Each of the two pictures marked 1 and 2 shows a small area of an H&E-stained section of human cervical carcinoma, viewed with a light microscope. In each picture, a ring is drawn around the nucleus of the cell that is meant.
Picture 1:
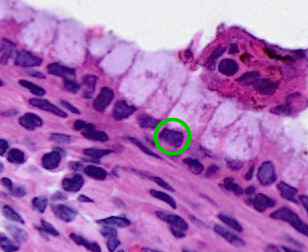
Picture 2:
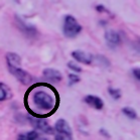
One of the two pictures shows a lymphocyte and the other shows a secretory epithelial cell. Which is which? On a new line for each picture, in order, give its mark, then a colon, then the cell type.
1: secretory epithelial cell
2: lymphocyte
